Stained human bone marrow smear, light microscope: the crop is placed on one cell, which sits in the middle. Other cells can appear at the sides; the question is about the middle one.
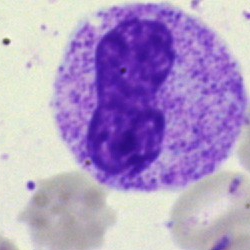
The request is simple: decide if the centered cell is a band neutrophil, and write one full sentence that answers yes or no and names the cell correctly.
Yes, as regards the cell in the middle, it is a band neutrophil.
